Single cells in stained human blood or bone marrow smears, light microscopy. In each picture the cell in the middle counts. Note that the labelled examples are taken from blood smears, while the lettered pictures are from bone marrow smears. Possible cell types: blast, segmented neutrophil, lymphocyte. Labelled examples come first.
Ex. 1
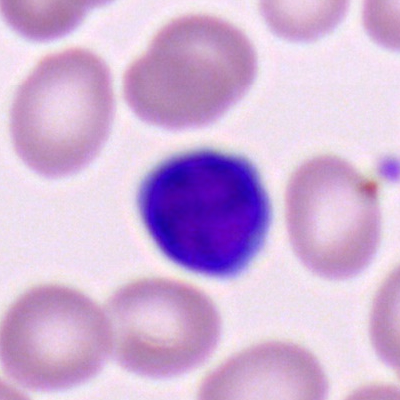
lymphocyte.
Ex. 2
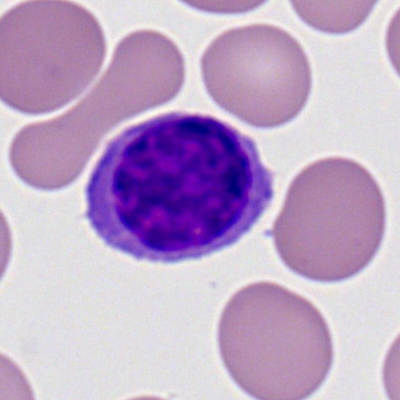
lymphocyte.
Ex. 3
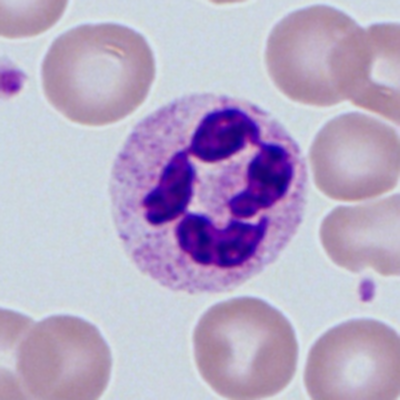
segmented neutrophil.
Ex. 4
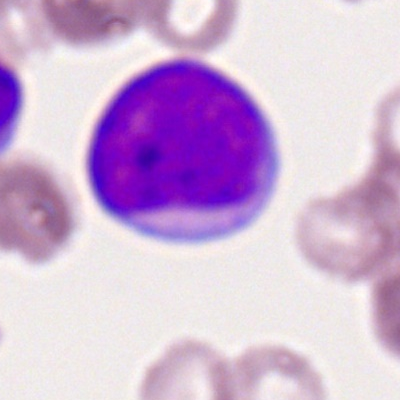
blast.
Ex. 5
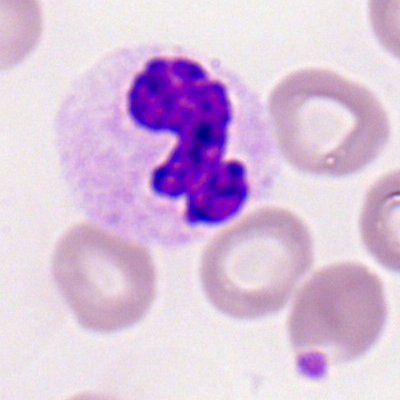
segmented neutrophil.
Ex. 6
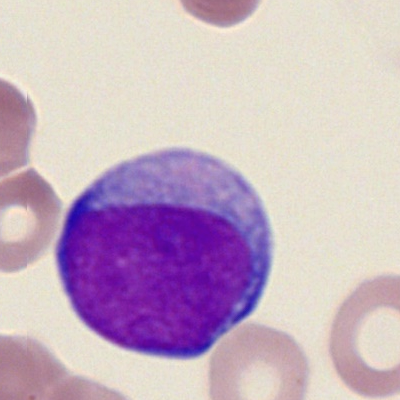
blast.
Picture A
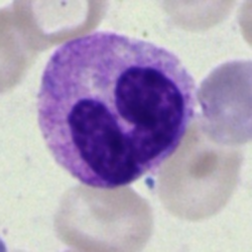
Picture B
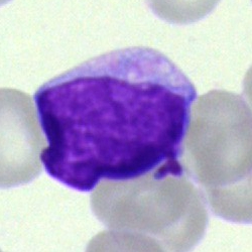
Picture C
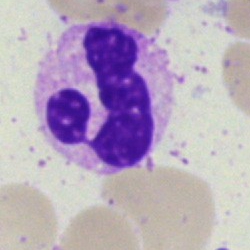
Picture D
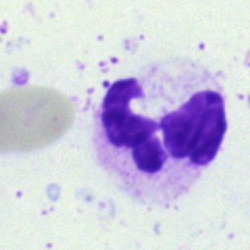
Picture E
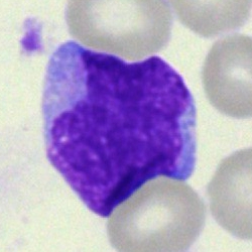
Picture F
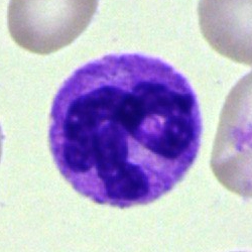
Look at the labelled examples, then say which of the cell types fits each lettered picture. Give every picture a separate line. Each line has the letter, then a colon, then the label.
A: segmented neutrophil.
B: blast.
C: segmented neutrophil.
D: segmented neutrophil.
E: blast.
F: segmented neutrophil.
